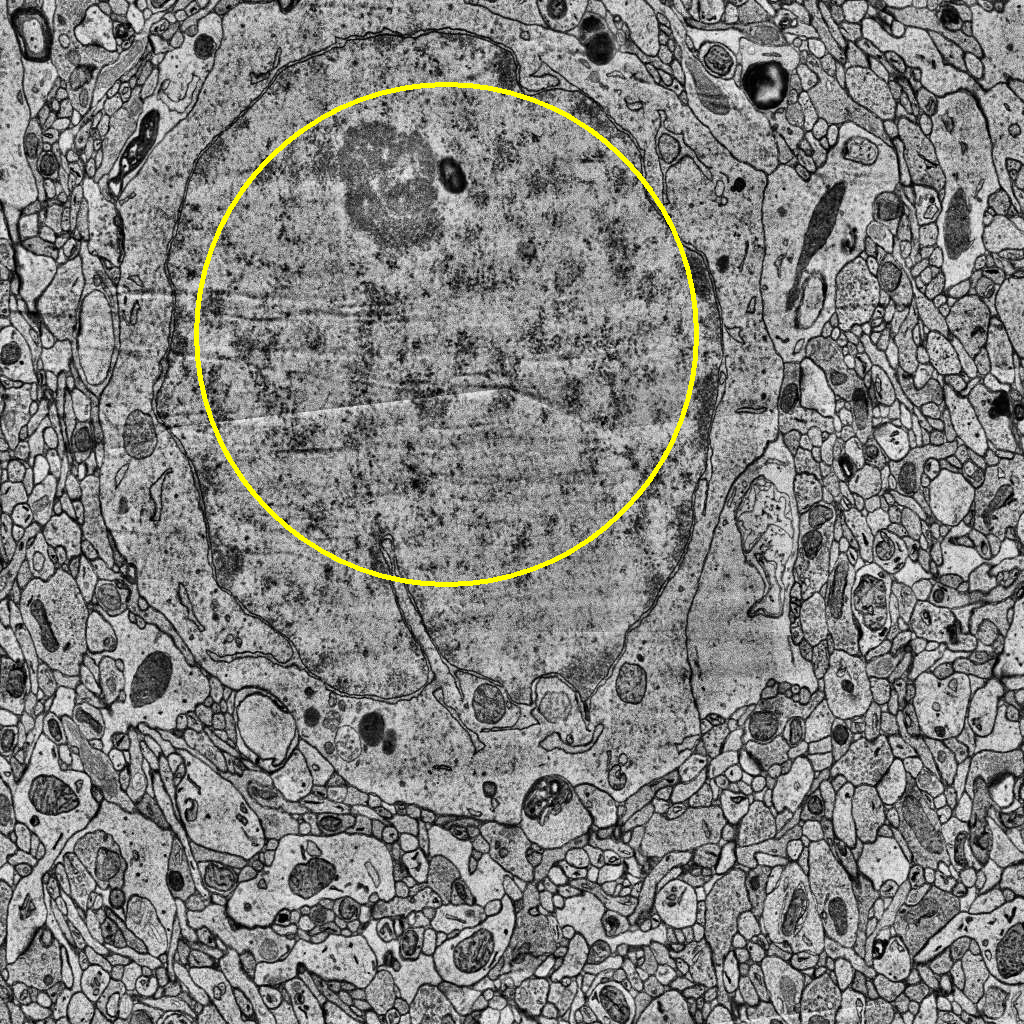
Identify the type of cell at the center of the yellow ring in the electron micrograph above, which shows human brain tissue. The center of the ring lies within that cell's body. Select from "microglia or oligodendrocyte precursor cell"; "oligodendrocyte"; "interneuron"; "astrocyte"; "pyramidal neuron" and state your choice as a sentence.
The center of the yellow ring lies in the body of an interneuron.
